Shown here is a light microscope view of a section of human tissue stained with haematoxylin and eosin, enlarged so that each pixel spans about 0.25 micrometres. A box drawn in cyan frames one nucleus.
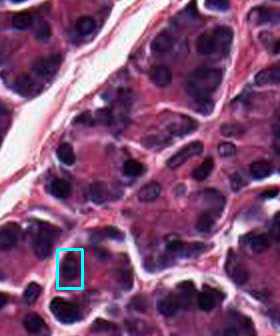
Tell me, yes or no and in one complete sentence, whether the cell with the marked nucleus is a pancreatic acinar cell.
Yes, the marked nucleus is the nucleus of a pancreatic acinar cell in this section.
